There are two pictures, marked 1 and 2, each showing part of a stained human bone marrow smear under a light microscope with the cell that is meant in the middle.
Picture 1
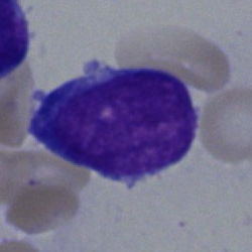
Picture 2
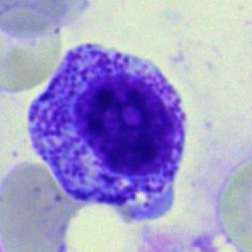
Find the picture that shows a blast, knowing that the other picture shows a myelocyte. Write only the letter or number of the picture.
1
